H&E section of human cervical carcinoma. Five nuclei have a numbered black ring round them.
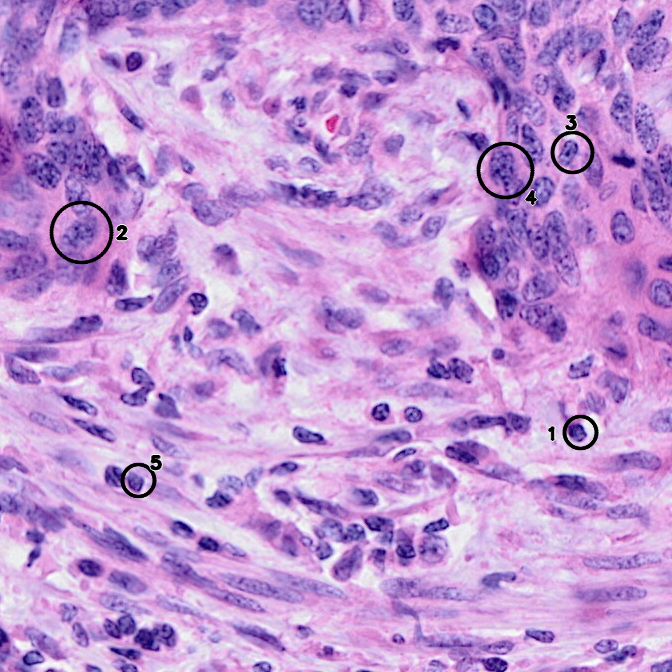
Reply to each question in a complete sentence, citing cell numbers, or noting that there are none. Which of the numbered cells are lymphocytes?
The numbers 1 and 5 refer to cells that are lymphocytes.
